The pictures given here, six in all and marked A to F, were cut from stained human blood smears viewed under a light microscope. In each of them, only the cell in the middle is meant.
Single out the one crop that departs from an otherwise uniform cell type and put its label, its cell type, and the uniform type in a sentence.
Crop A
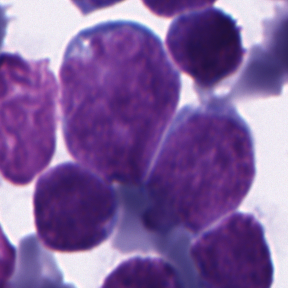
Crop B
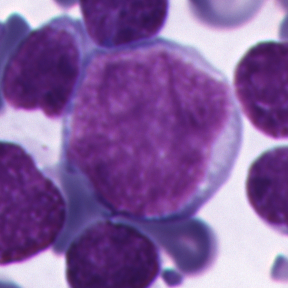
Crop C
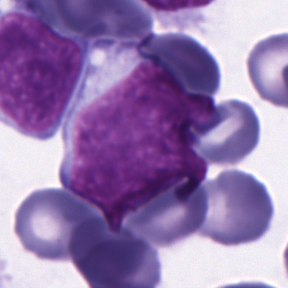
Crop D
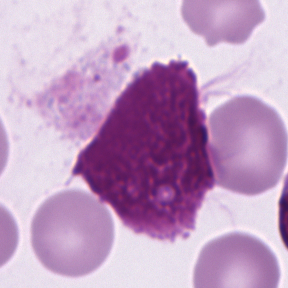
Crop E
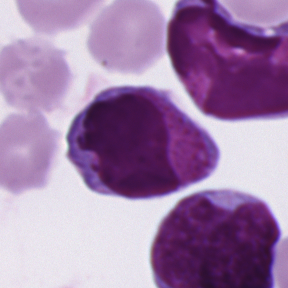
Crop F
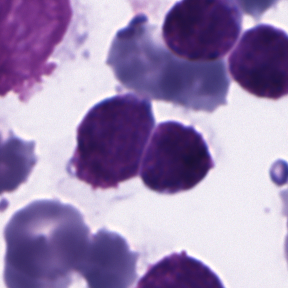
Among these crops, myeloblasts occur in all but crop D, which contains a smudge cell.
